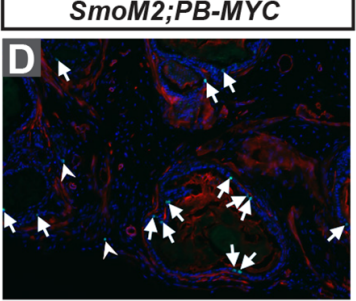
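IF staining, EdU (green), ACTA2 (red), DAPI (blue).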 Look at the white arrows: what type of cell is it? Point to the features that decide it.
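The marked nuclei sit inside the red band around the gland.
Hence: epithelial cells.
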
